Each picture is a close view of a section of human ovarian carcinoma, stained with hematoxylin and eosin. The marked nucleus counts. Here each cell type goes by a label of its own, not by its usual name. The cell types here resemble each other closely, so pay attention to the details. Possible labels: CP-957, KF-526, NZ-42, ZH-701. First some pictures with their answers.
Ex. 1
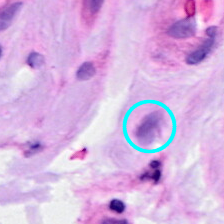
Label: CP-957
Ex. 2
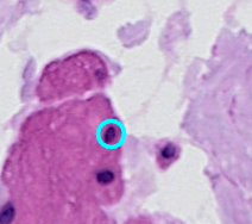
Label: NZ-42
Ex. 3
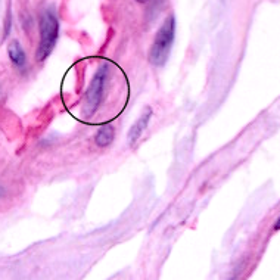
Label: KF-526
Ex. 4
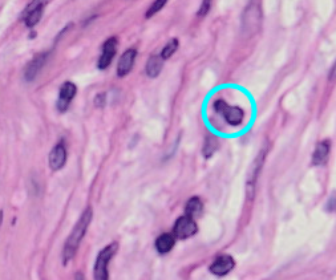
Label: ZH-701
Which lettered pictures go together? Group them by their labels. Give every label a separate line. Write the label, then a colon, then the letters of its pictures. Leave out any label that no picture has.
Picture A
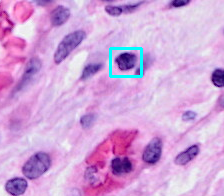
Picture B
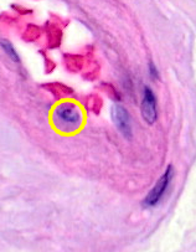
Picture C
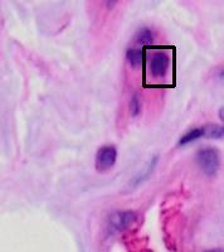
KF-526: B
NZ-42: C
ZH-701: A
